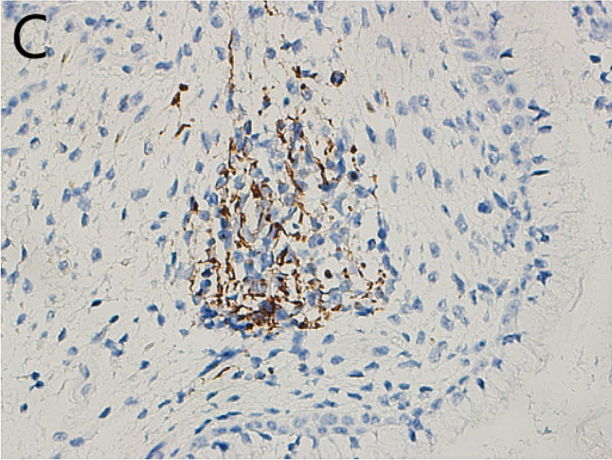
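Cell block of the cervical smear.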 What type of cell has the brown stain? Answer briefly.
Small blue cells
